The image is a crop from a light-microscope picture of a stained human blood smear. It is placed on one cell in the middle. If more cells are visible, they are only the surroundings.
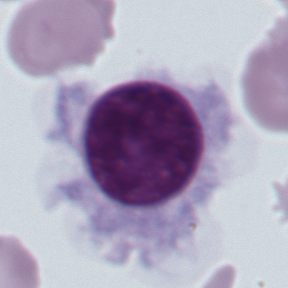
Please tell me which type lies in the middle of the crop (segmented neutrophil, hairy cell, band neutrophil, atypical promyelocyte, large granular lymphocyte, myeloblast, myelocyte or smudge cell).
hairy cell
